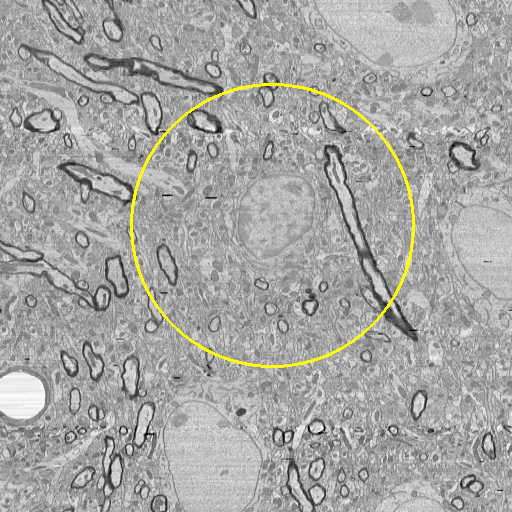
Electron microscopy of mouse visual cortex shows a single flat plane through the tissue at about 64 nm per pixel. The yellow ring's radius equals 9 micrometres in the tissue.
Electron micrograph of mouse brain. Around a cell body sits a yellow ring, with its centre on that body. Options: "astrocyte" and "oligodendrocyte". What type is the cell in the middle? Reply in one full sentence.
The cell sitting at the centre of the yellow ring is an oligodendrocyte.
